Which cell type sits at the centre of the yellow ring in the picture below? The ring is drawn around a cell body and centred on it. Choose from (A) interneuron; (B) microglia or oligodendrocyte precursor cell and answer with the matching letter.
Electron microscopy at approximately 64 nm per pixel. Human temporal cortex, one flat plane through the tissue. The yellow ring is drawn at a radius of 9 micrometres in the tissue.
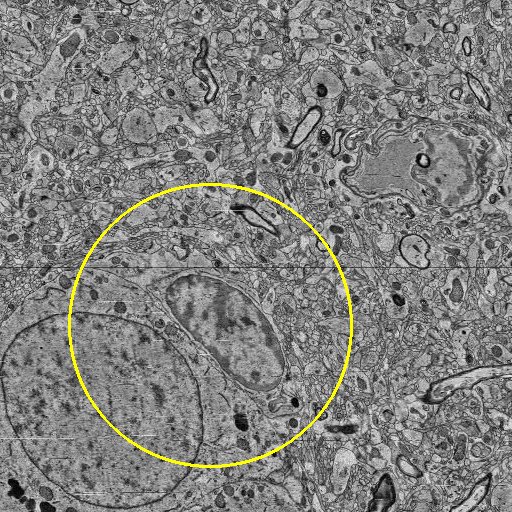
B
